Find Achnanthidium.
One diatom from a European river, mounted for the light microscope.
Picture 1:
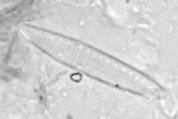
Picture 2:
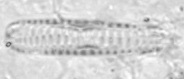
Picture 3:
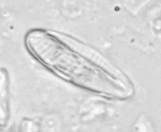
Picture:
3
